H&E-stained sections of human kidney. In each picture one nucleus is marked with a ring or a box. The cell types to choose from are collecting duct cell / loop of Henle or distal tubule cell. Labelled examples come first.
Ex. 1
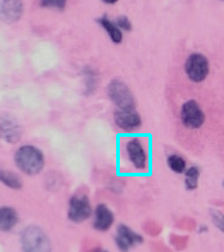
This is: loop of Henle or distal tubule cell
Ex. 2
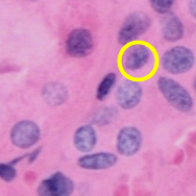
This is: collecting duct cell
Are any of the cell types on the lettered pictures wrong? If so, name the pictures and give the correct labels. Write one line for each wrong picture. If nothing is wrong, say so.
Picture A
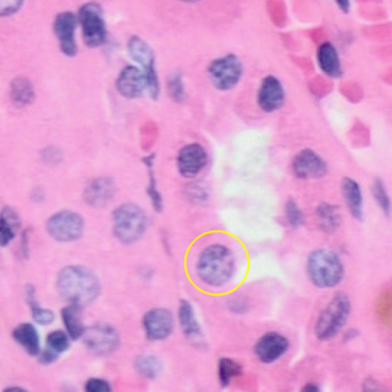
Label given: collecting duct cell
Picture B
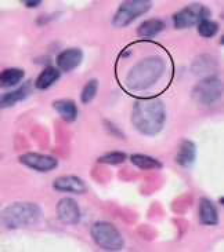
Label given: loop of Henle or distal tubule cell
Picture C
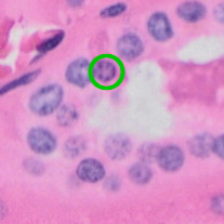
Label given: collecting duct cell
A: loop of Henle or distal tubule cell, not collecting duct cell
B: collecting duct cell, not loop of Henle or distal tubule cell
